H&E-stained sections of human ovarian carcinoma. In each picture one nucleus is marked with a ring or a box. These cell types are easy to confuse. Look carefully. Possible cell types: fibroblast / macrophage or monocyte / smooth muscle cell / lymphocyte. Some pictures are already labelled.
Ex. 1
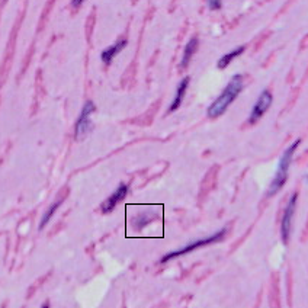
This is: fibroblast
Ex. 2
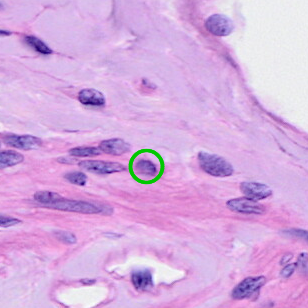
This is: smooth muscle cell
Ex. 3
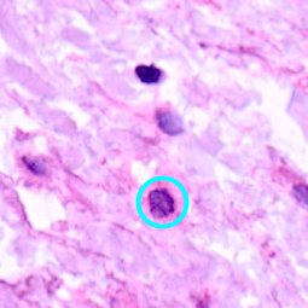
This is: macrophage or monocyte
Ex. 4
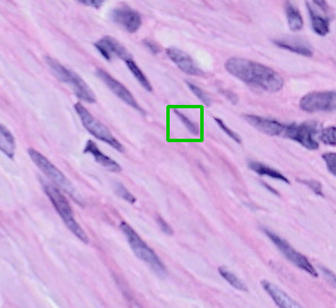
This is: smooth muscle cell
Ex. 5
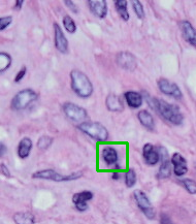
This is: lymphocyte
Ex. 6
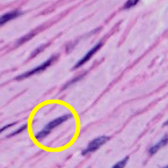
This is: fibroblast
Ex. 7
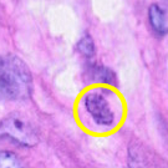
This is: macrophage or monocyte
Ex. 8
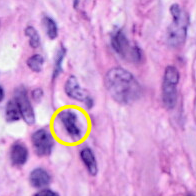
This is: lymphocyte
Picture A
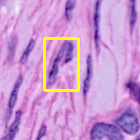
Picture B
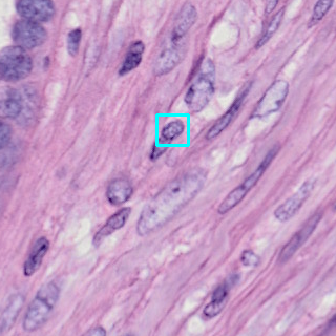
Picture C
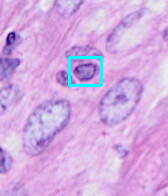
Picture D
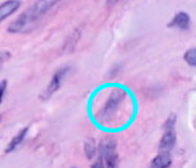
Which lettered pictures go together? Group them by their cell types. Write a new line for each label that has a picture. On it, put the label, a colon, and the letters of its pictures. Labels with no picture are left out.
fibroblast: A
macrophage or monocyte: B, C
smooth muscle cell: D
